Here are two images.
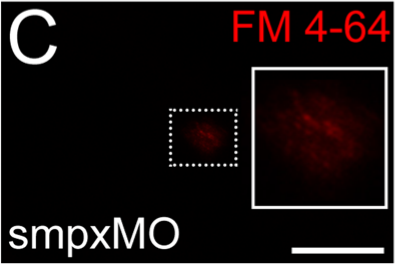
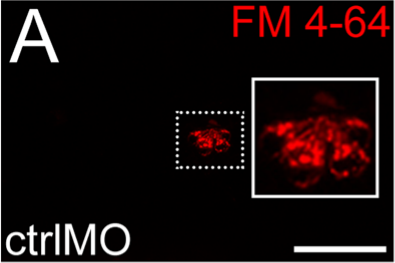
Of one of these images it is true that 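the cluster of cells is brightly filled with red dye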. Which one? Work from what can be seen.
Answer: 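First image: the cluster is only faintly red and diffuse, with few distinct bright patches. Second image: the cluster shows many intense, sharply bounded red patches. On this evidence: the second image.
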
